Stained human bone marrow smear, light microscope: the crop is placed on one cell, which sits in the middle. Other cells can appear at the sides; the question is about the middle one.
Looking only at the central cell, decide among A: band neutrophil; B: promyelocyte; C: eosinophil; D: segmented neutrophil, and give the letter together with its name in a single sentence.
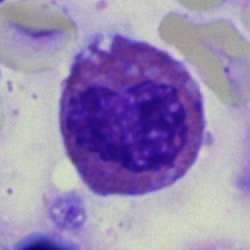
In this crop the central cell is an eosinophil, which option C correctly states.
